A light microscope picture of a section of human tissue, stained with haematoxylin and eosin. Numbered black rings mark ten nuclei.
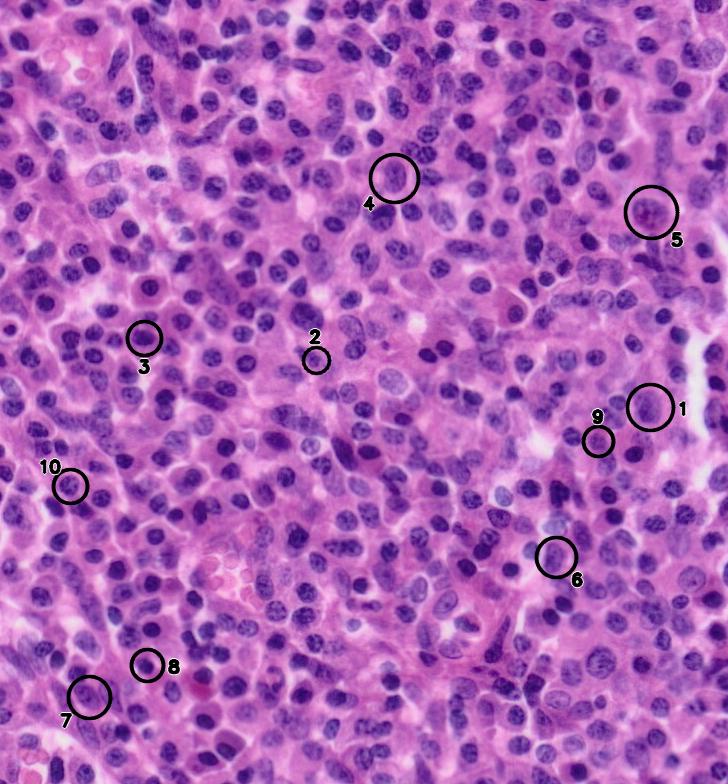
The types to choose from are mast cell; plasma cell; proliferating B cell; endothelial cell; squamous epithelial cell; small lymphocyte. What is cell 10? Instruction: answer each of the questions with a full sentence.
Here, the cell given the number 10 is a plasma cell.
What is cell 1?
Identified as a squamous epithelial cell is the cell bearing the number 1.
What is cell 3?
Identified as a plasma cell is the cell bearing the number 3.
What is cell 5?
The numbered cell 5 is identified here as a squamous epithelial cell.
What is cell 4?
Cell 4 in the field is a squamous epithelial cell.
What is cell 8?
Of the numbered cells, the one labelled 8 is a plasma cell.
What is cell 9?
The cell referred to as 9 is a plasma cell.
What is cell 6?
Number 6 is placed on a squamous epithelial cell here.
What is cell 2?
To a squamous epithelial cell belongs the nucleus marked 2.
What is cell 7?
Regarding cell 7, this one is a squamous epithelial cell.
